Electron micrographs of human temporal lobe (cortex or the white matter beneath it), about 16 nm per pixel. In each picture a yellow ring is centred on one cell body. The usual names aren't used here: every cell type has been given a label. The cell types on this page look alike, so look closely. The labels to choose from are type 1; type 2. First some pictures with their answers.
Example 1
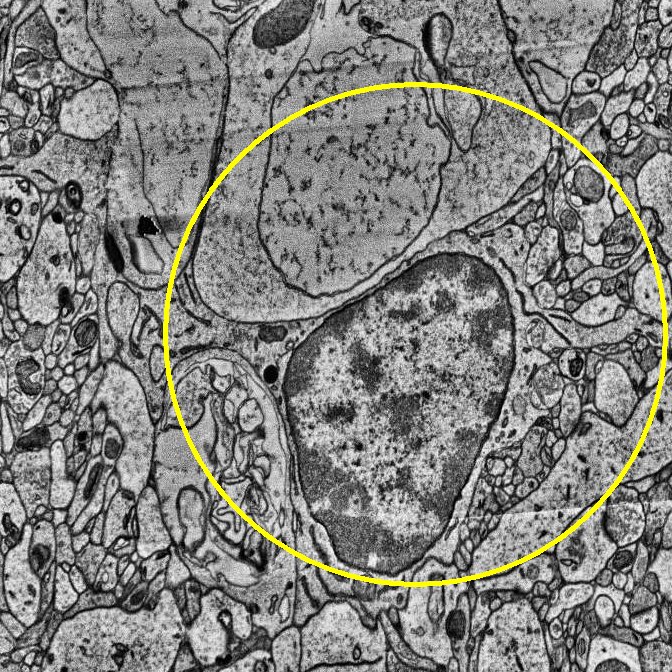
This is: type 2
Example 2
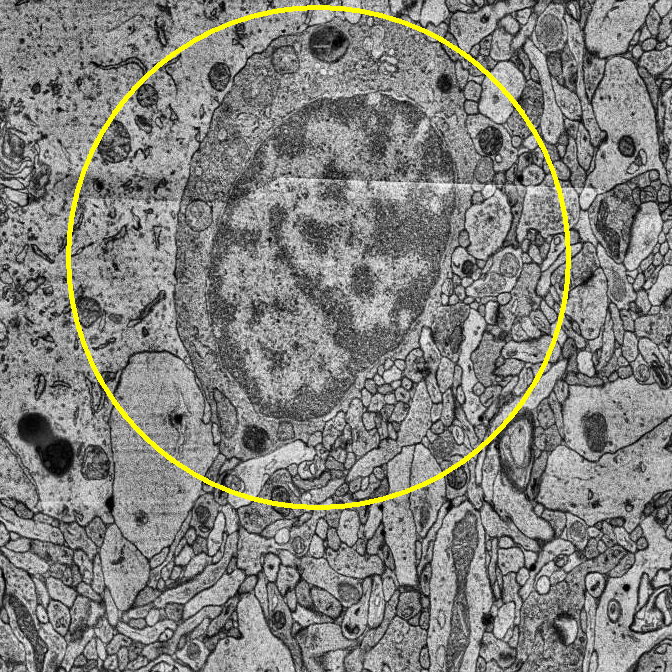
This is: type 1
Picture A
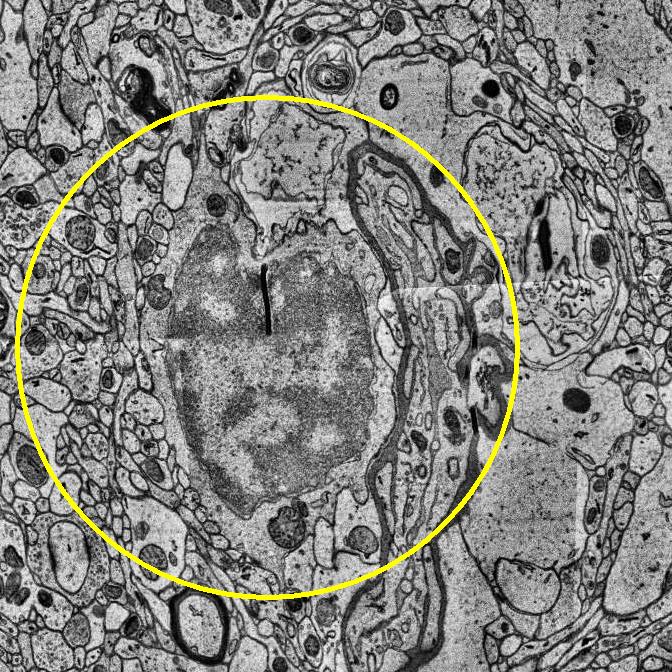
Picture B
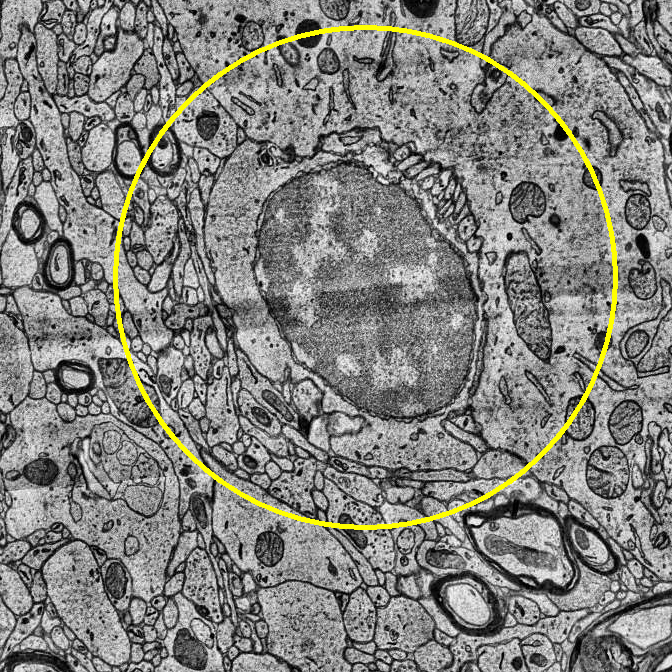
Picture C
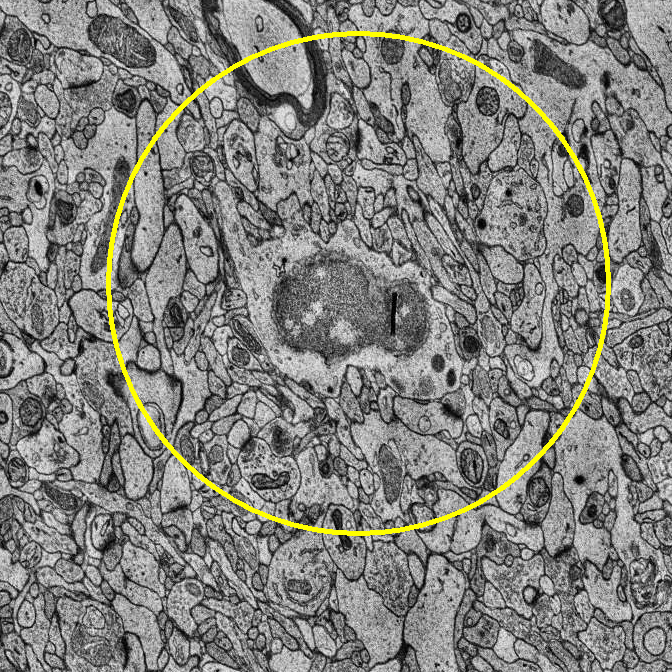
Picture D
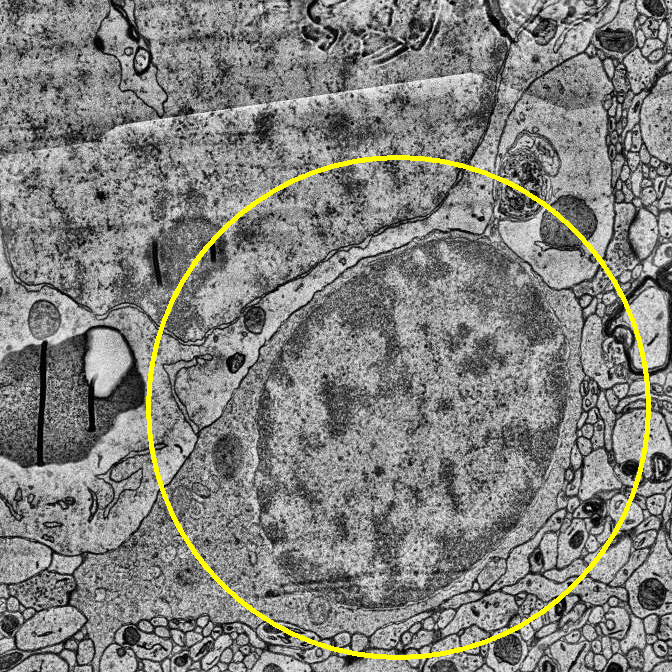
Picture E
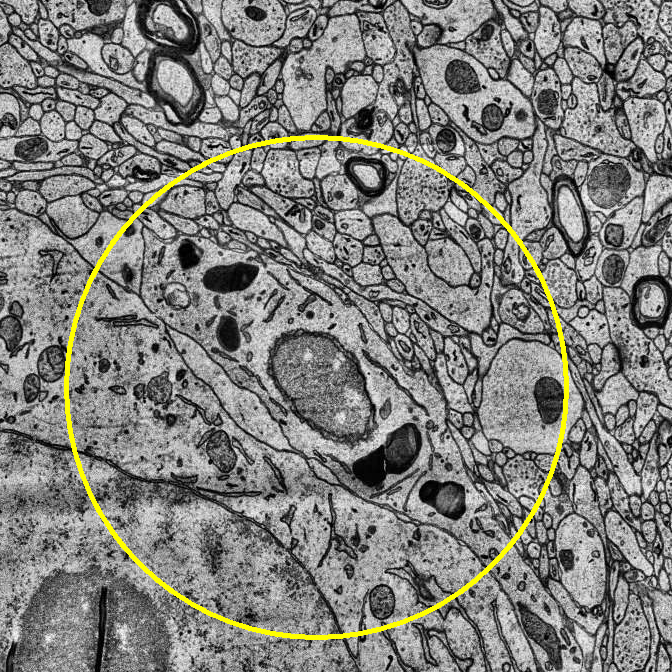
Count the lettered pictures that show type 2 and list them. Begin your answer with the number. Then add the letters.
3: B, C, E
